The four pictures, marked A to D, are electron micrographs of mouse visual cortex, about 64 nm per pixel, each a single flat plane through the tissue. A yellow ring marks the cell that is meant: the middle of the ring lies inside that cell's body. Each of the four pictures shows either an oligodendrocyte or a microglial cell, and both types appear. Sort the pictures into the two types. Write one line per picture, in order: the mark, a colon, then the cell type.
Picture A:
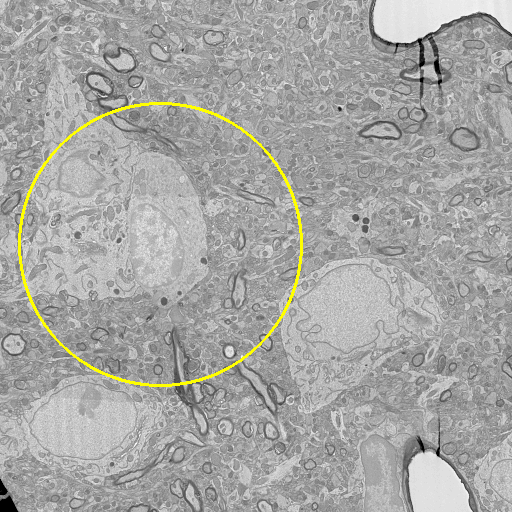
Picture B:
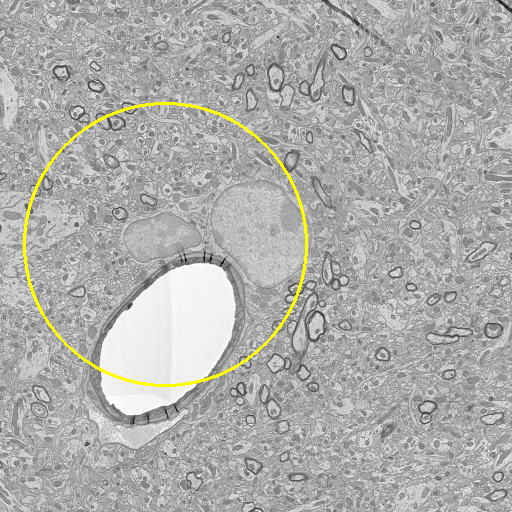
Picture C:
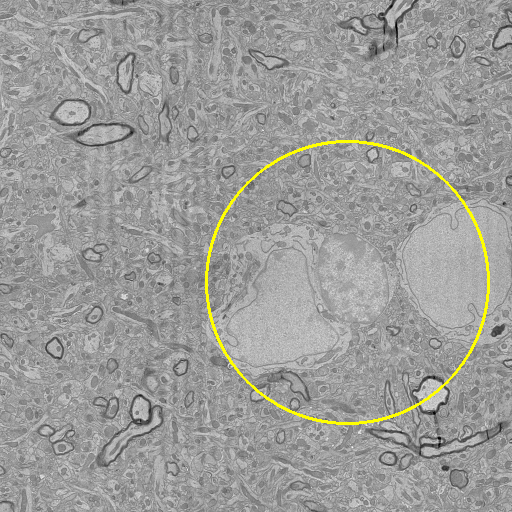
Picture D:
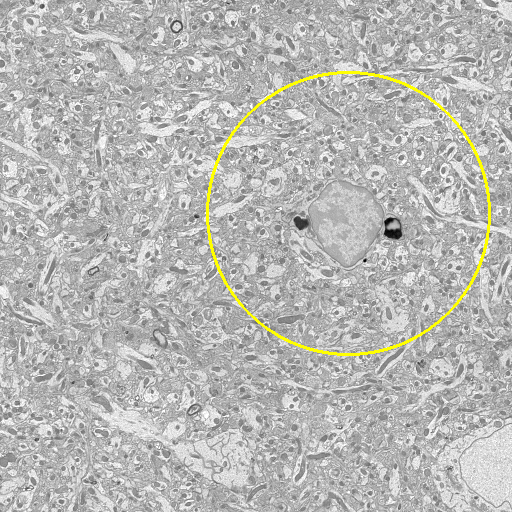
A: oligodendrocyte
B: microglial cell
C: oligodendrocyte
D: microglial cell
